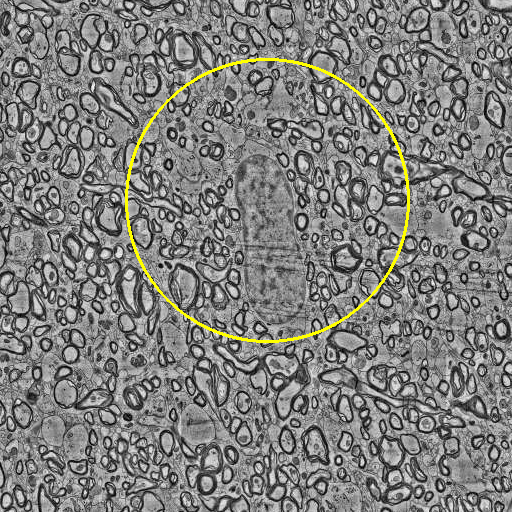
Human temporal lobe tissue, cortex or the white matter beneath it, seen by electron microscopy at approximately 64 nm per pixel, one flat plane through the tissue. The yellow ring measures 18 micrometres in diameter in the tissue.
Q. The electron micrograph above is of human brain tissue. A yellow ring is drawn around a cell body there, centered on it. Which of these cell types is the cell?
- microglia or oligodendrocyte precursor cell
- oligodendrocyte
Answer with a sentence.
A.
The cell under the ring's center is a microglial cell or oligodendrocyte precursor cell.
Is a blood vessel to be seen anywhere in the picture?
No, the picture includes no blood vessel.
